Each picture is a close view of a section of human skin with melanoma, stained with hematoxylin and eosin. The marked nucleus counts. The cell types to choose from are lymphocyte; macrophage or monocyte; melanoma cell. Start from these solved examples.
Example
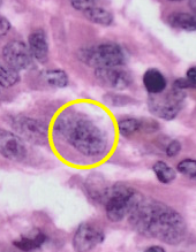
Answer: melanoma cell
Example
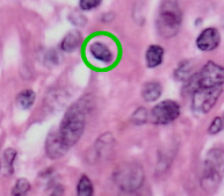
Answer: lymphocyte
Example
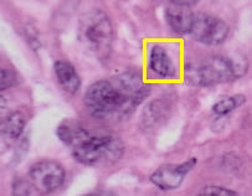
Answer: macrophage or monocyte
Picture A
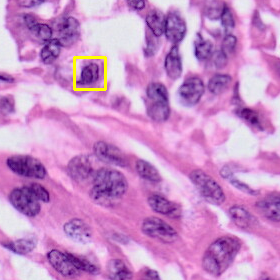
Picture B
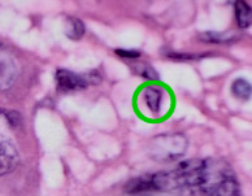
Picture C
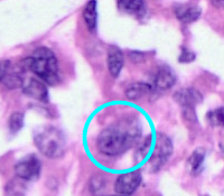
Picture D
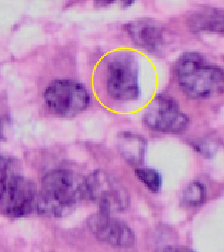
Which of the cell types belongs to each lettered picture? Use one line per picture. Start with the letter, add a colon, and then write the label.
A: melanoma cell
B: macrophage or monocyte
C: melanoma cell
D: melanoma cell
